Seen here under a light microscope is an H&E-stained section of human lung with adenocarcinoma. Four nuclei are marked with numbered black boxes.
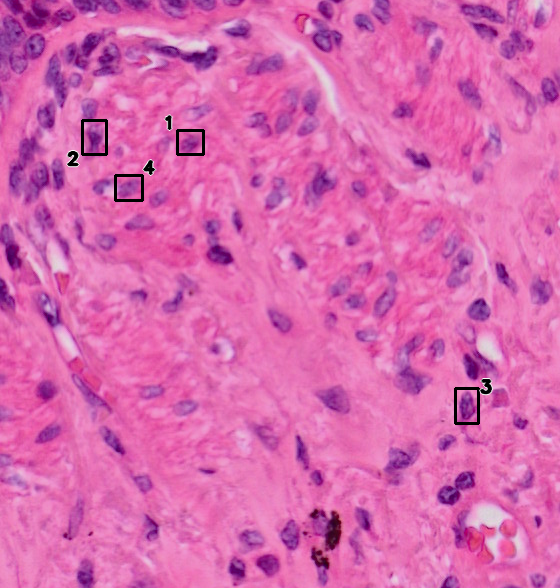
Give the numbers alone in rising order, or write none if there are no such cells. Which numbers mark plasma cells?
3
